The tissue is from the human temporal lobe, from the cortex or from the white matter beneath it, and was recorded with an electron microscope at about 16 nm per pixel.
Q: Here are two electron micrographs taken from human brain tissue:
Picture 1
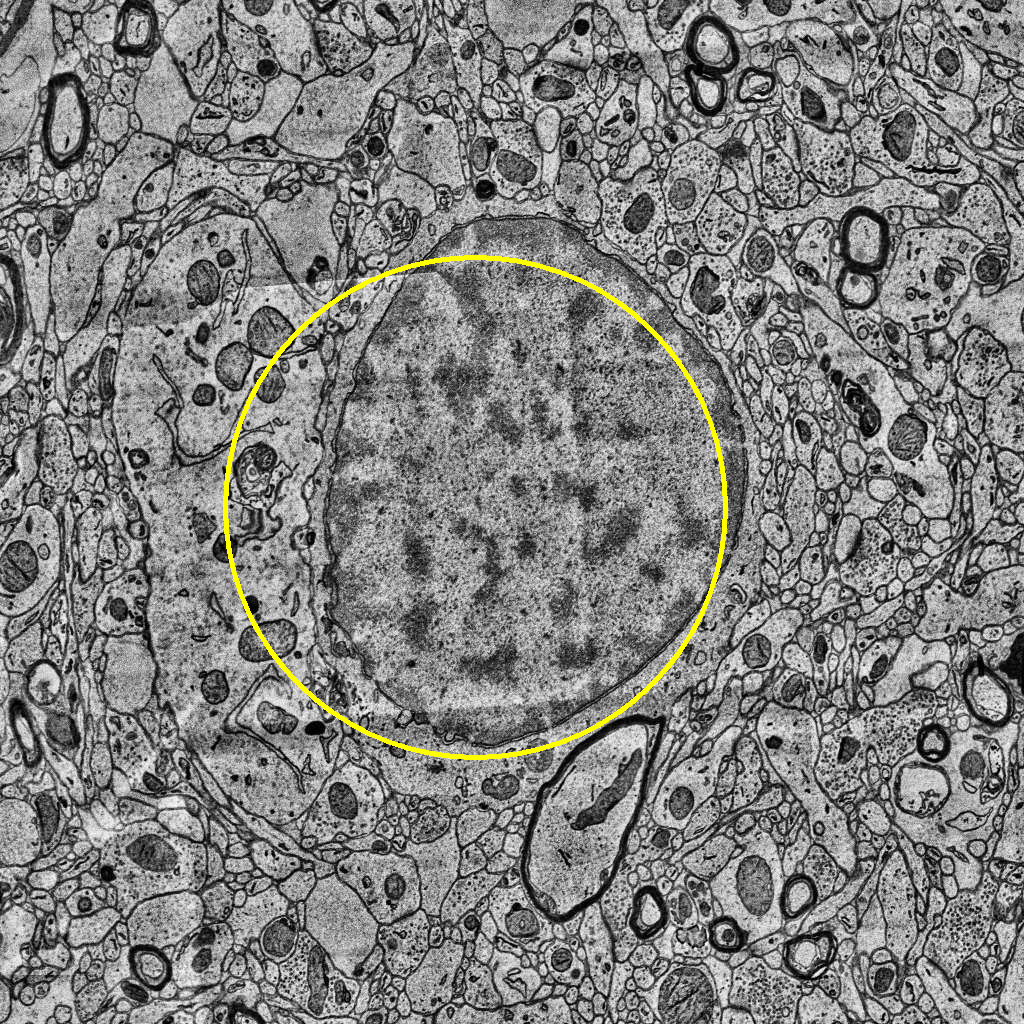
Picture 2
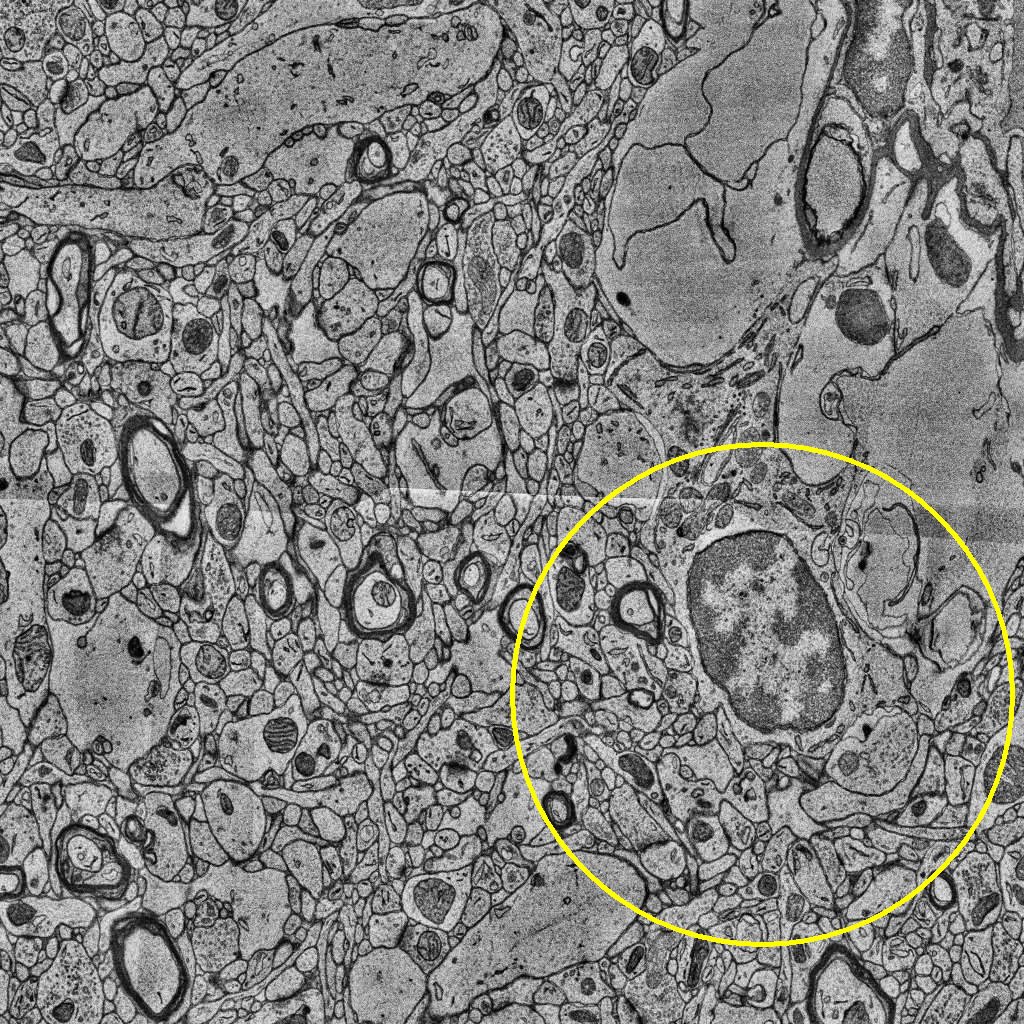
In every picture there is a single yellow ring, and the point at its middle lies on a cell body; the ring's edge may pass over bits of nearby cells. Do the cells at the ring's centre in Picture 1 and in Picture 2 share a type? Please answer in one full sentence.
No, the cells at the ring's centre in Picture 1 and Picture 2 are of two types.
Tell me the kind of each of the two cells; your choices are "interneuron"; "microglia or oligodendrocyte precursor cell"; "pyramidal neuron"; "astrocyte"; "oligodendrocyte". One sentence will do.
The first cell is an oligodendrocyte; the second is a microglial cell or oligodendrocyte precursor cell.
